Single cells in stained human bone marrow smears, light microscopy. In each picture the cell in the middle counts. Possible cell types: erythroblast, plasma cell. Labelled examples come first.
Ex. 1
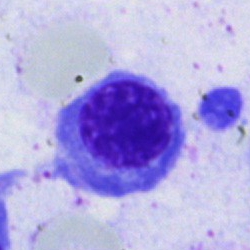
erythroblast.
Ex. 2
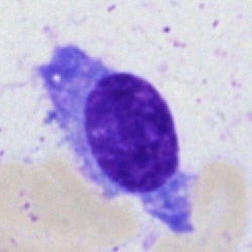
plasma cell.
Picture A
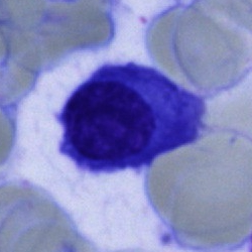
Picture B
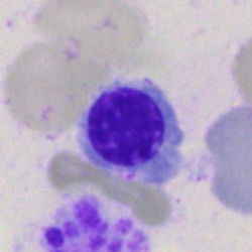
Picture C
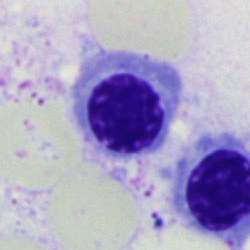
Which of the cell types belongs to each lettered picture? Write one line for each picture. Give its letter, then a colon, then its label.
A: plasma cell.
B: erythroblast.
C: erythroblast.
